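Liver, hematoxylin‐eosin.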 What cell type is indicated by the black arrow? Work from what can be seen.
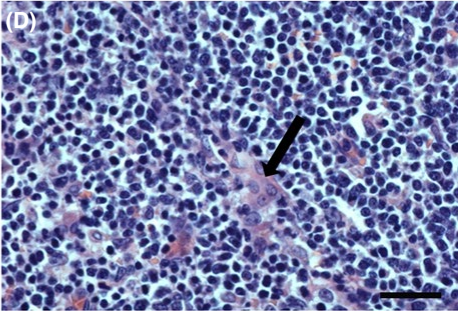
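Hepatocytes. The arrow points to a small cluster of larger cells with abundant pale pink cytoplasm. These cells have round nuclei and are surrounded by densely packed small round cells.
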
